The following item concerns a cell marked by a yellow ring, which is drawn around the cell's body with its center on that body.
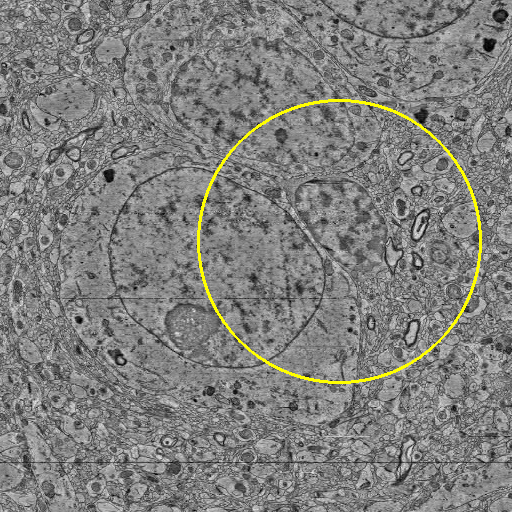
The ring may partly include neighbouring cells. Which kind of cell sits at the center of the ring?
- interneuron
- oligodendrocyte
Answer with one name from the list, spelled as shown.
oligodendrocyte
